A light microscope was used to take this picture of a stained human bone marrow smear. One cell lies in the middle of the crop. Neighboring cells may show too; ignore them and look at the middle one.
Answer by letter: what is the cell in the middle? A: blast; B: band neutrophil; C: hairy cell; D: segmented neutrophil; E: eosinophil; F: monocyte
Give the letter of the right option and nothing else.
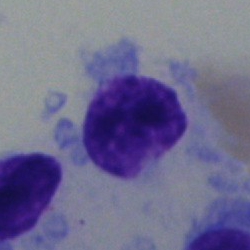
C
